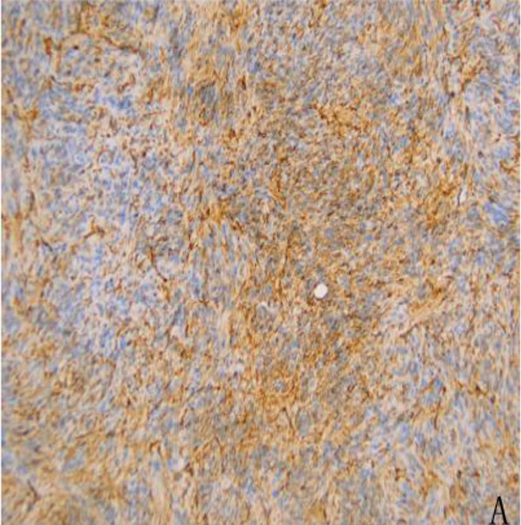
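Tumor tissue made of densely packed spindle-shaped tumor cells in sweeping, interlacing fascicles, seen at low magnification. Nuclei are elongated and blue, lying close together with little stroma between them. Brown stain outlines the cells and their slender cytoplasm in a fibrillary, streaming pattern, dense in some areas and absent in others, so that brown-stained zones alternate with blue, unstained patches of the same spindle cells. No glandular or epithelial arrangement is seen; the growth is solid and cellular throughout.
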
